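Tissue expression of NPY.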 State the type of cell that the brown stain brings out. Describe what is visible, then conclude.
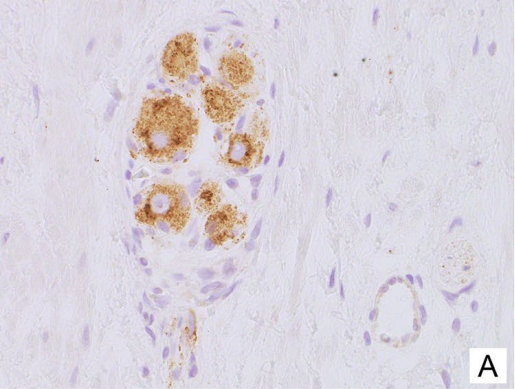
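Large round cells with abundant granular brown cytoplasm. The cells lie clustered within a small encapsulated nest in the stroma. Small flat satellite-like nuclei surround the large cells. On this evidence: ganglion cells.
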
